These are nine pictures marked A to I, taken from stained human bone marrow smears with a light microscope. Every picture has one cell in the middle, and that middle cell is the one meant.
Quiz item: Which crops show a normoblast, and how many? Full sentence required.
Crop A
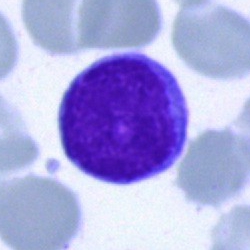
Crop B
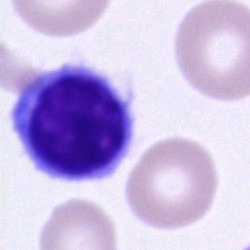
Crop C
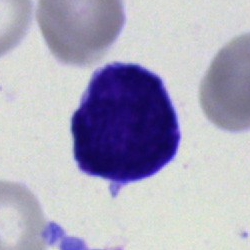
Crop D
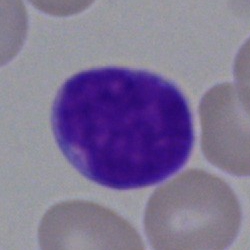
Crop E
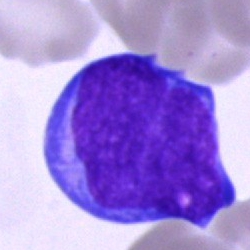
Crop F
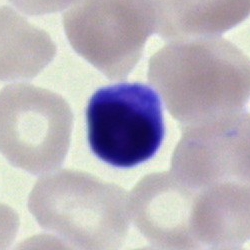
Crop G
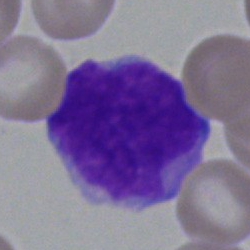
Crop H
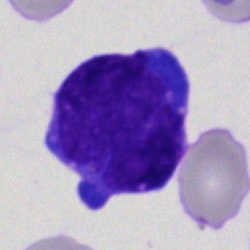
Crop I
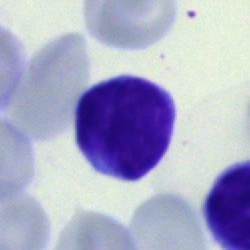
As none of the crops shows normoblasts, the number counted is zero.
